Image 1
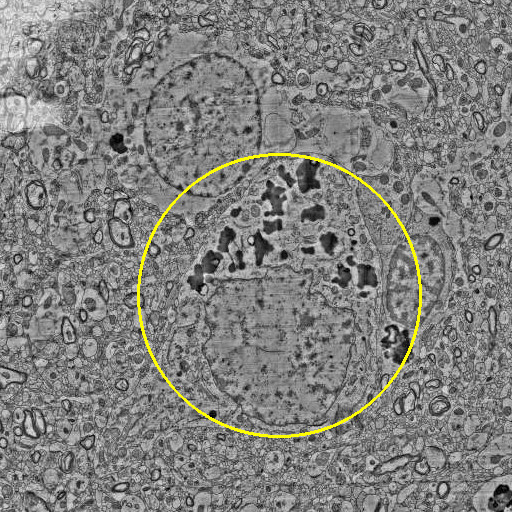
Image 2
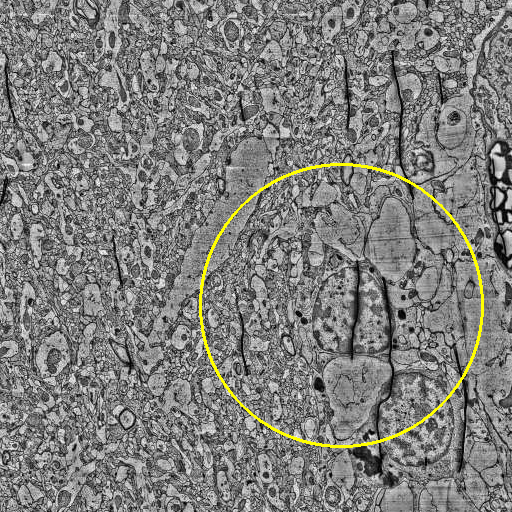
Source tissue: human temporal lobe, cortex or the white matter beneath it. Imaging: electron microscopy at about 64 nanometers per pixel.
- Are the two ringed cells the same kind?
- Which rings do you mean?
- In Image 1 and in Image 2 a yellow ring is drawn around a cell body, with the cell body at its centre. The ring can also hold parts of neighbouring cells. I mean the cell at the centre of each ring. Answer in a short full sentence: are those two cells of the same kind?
No, the cells are of two kinds.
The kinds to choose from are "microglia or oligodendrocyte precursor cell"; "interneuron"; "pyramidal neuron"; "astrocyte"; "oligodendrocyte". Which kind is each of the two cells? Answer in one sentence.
Of the two, the first cell is an interneuron and the second cell is a microglial cell or oligodendrocyte precursor cell.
